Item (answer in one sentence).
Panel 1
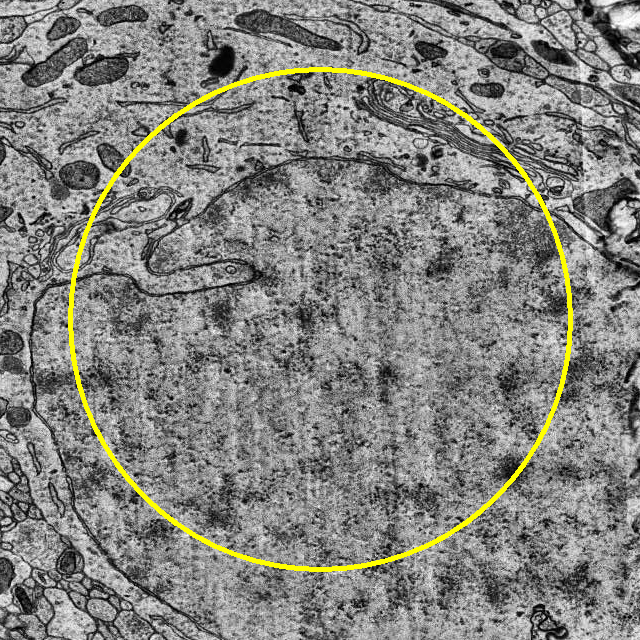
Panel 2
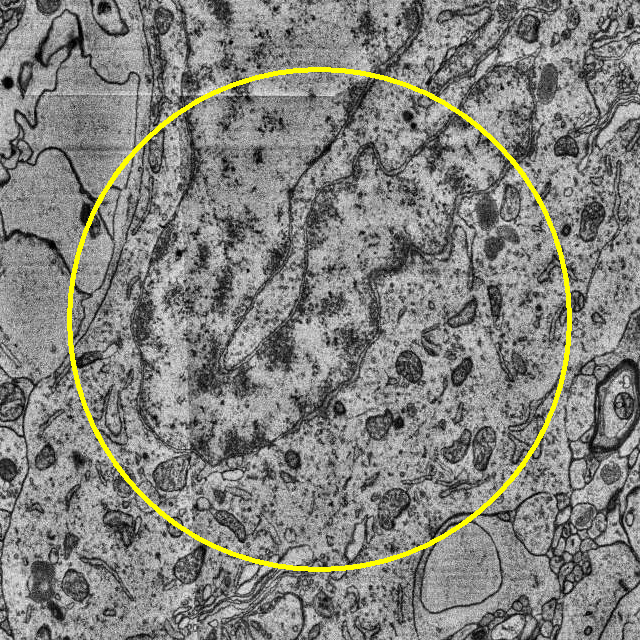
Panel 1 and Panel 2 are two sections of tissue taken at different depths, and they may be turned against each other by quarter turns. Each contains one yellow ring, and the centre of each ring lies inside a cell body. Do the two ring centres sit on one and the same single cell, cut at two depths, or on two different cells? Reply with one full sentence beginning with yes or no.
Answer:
No, the ringed cells are two separate cells.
